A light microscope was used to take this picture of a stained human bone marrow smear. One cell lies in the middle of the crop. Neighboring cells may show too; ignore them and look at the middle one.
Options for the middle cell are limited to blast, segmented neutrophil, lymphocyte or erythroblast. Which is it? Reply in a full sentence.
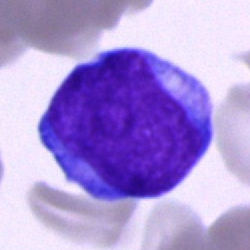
At the middle of the frame sits a blast.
